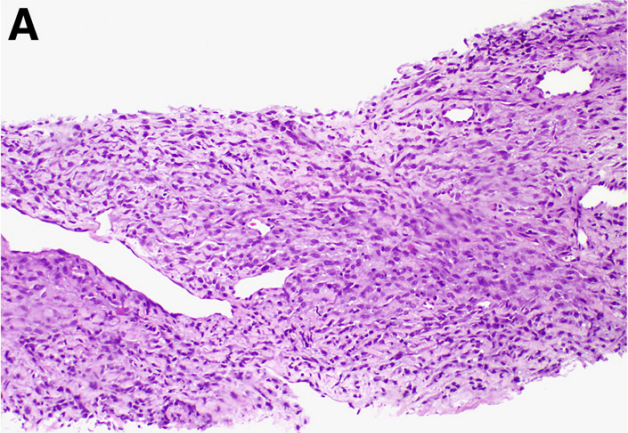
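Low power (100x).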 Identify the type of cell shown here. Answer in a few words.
spindled cells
